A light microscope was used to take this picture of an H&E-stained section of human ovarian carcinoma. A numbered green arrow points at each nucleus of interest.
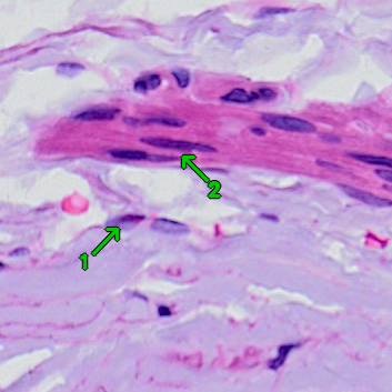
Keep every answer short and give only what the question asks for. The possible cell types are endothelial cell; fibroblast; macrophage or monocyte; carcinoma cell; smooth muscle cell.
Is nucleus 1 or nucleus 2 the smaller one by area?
1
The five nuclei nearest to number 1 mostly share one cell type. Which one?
smooth muscle cell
